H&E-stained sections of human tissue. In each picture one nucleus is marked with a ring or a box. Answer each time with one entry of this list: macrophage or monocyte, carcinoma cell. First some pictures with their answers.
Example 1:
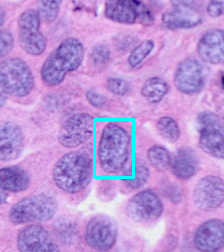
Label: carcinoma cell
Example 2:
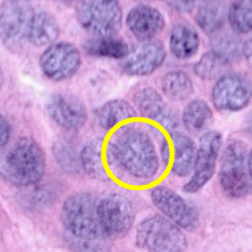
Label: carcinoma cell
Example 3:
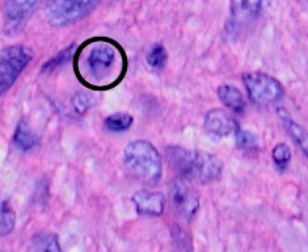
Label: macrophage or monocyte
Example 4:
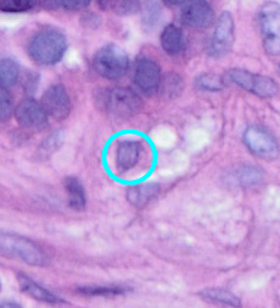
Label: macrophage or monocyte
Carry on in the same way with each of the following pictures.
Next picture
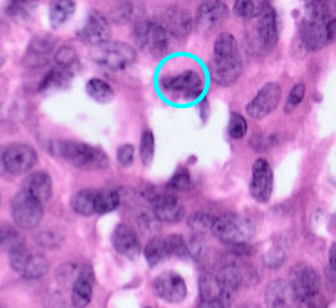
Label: macrophage or monocyte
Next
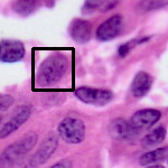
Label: carcinoma cell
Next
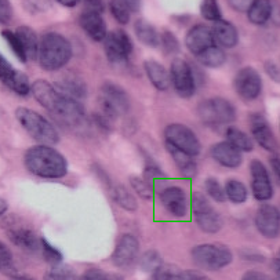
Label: carcinoma cell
